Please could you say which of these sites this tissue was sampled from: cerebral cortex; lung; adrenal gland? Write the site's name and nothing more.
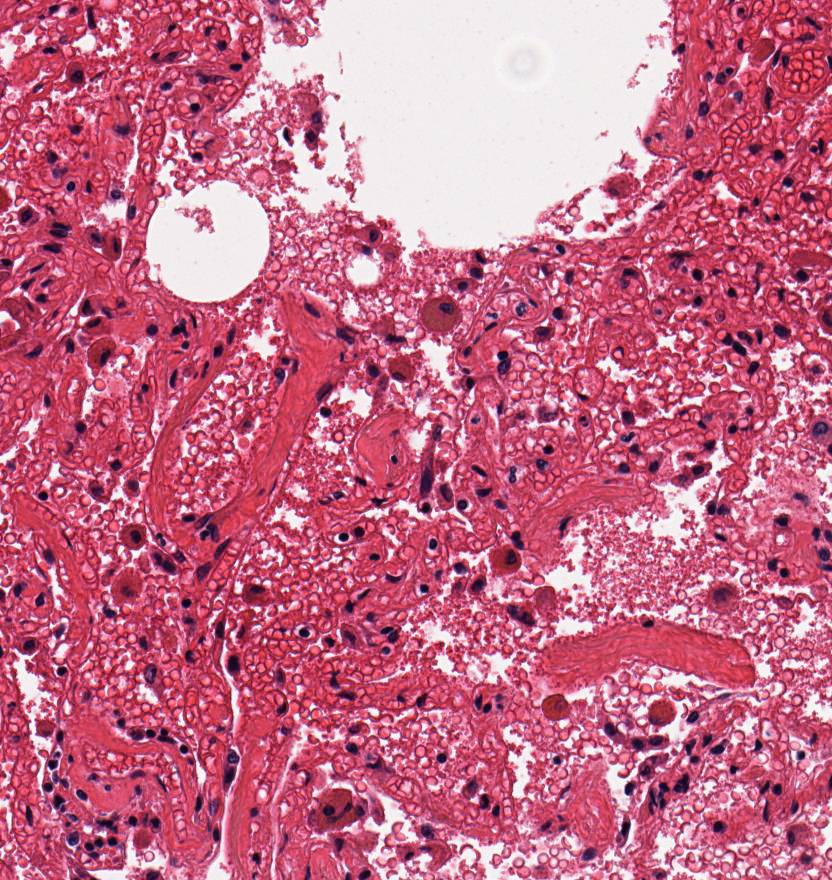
lung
